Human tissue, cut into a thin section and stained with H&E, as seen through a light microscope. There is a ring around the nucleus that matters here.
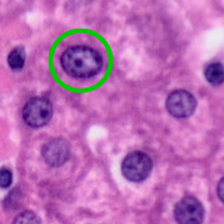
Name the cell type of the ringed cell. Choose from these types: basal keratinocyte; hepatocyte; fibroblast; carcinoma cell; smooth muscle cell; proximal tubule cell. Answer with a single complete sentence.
In short, the ringed cell on this section is a hepatocyte.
